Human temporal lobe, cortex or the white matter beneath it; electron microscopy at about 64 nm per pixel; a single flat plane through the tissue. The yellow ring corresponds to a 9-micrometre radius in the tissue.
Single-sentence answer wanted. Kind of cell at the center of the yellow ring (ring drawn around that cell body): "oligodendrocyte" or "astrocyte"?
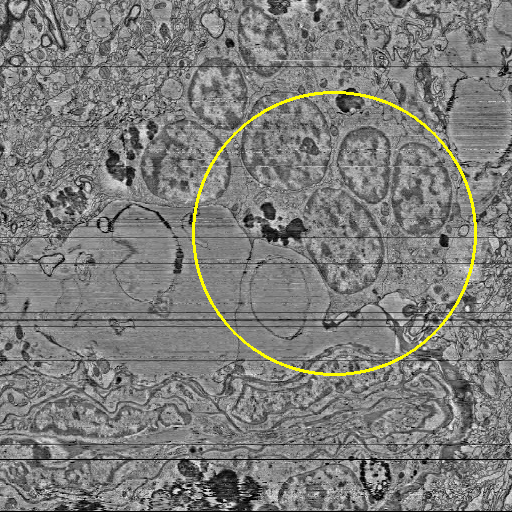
The cell centered in the ring is an oligodendrocyte.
